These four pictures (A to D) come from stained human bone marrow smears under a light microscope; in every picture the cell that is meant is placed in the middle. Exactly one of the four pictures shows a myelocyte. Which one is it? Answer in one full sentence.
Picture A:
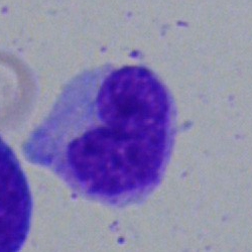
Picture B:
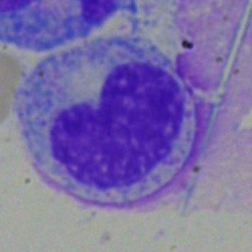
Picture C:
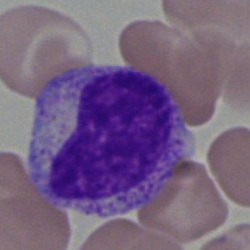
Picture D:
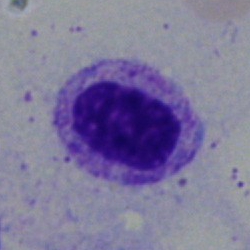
The picture with the myelocyte is D.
